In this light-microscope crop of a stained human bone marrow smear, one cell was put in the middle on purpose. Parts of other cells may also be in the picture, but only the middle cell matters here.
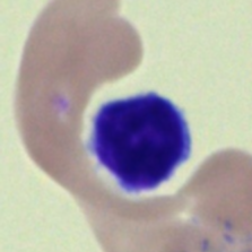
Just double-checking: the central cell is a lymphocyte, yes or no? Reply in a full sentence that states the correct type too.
Yes, the cell that the crop is centred on is a lymphocyte.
